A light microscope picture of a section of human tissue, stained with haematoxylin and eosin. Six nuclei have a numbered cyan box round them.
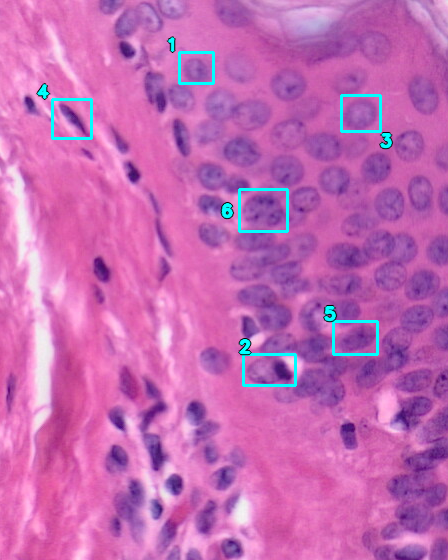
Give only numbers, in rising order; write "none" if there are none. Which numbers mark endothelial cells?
none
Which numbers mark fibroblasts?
4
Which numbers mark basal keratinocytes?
2, 5, 6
